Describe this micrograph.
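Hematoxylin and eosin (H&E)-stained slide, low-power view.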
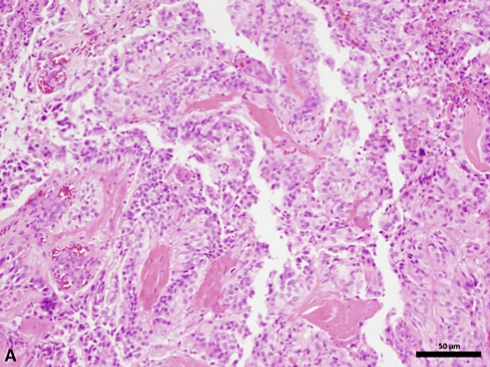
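An atypical papillary proliferation of epithelioid cells forms fronds separated by clefts. The cells lie in one to several layers around thick, dense pink fibrovascular cores, some containing red blood cells.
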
